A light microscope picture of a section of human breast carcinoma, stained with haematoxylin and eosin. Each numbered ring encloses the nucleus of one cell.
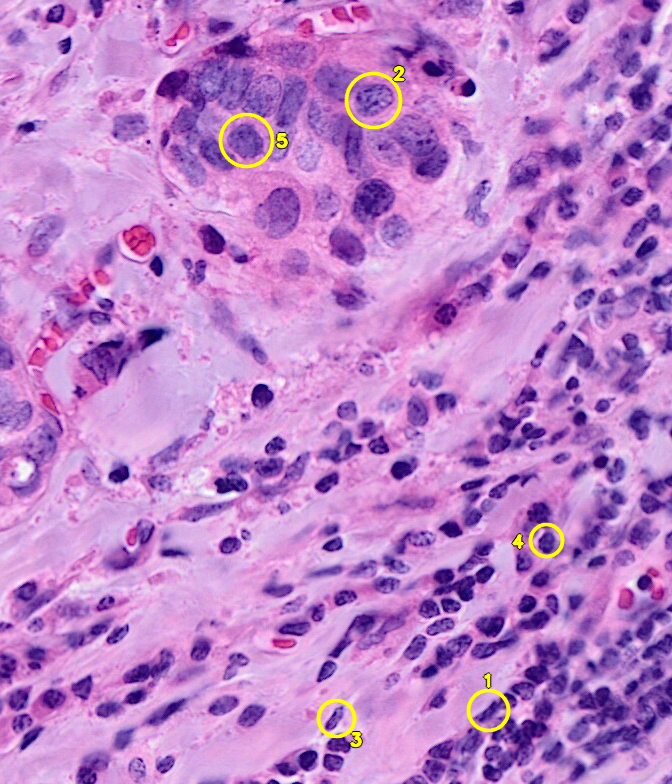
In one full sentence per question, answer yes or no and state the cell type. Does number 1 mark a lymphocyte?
Yes, for number 1, the cell is a lymphocyte.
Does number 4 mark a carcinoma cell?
No, cell 4 is not a carcinoma cell, but is instead a lymphocyte.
